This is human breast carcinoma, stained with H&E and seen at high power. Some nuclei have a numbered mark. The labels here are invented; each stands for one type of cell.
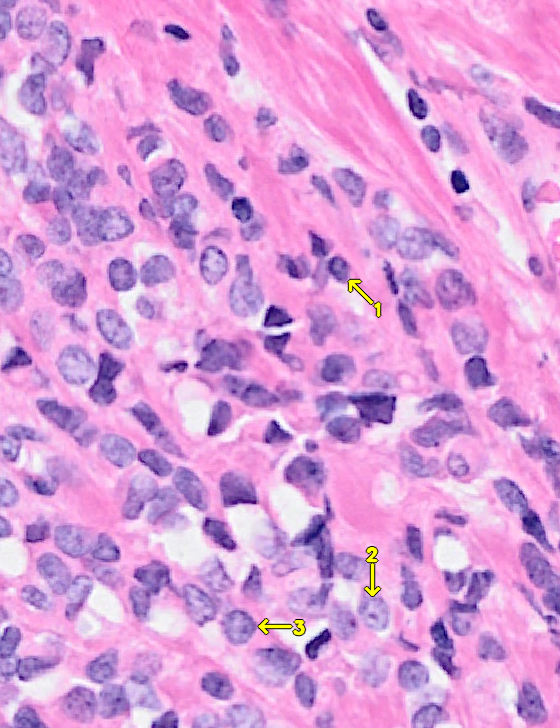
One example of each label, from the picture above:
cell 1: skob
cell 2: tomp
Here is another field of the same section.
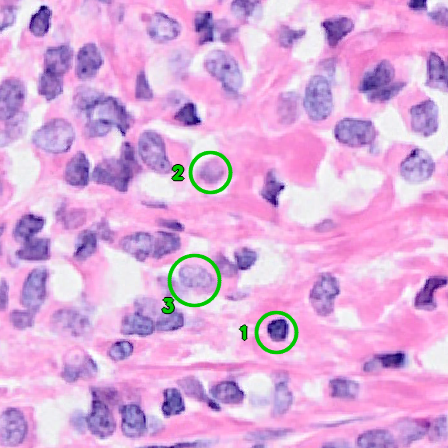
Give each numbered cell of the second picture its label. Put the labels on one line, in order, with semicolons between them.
skob; tomp; tomp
